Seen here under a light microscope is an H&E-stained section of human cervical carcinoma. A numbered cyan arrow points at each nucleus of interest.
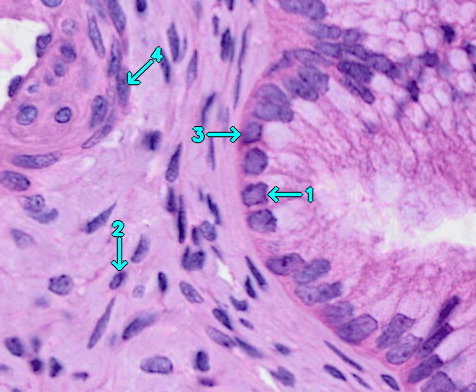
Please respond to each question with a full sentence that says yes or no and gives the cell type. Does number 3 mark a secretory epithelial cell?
Yes, cell number 3 is classified as a secretory epithelial cell.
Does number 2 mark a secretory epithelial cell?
No, the marker 2 sits on a fibroblast, not on a secretory epithelial cell.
